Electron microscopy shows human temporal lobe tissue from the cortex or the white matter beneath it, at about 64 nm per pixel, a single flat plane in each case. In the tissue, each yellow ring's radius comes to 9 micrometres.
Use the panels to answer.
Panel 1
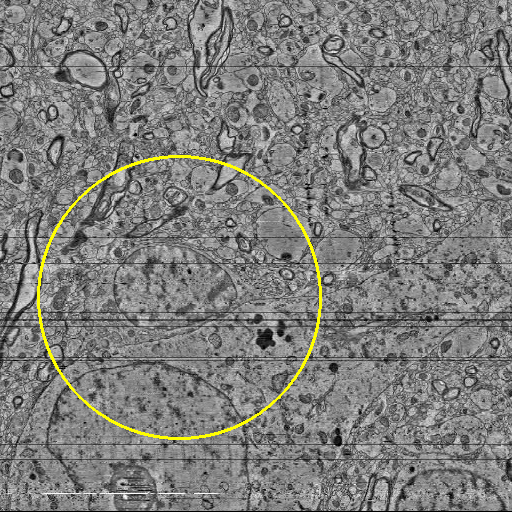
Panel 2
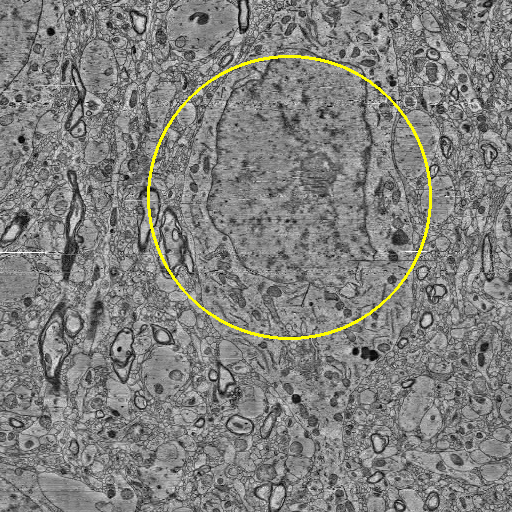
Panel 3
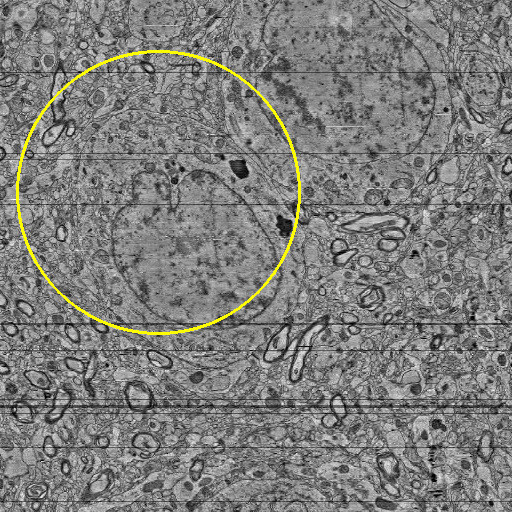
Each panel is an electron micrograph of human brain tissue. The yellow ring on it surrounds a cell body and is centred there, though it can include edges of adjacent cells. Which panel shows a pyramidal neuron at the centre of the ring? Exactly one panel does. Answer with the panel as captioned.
Panel 3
